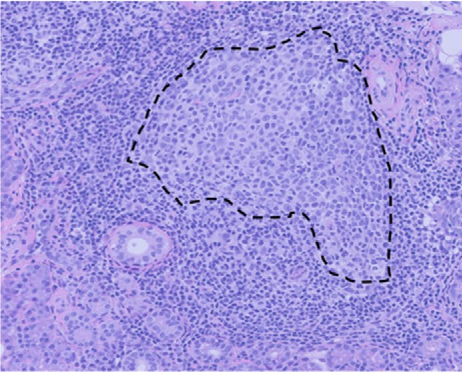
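This is salivary gland tissue densely infiltrated by lymphocytes, forming a large focus around ducts. Most of the field is crowded with small round cells with dark purple nuclei and scant cytoplasm. Ducts with round lumina lined by epithelium sit at the edge of and within the infiltrate, so the focus is periductal.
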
